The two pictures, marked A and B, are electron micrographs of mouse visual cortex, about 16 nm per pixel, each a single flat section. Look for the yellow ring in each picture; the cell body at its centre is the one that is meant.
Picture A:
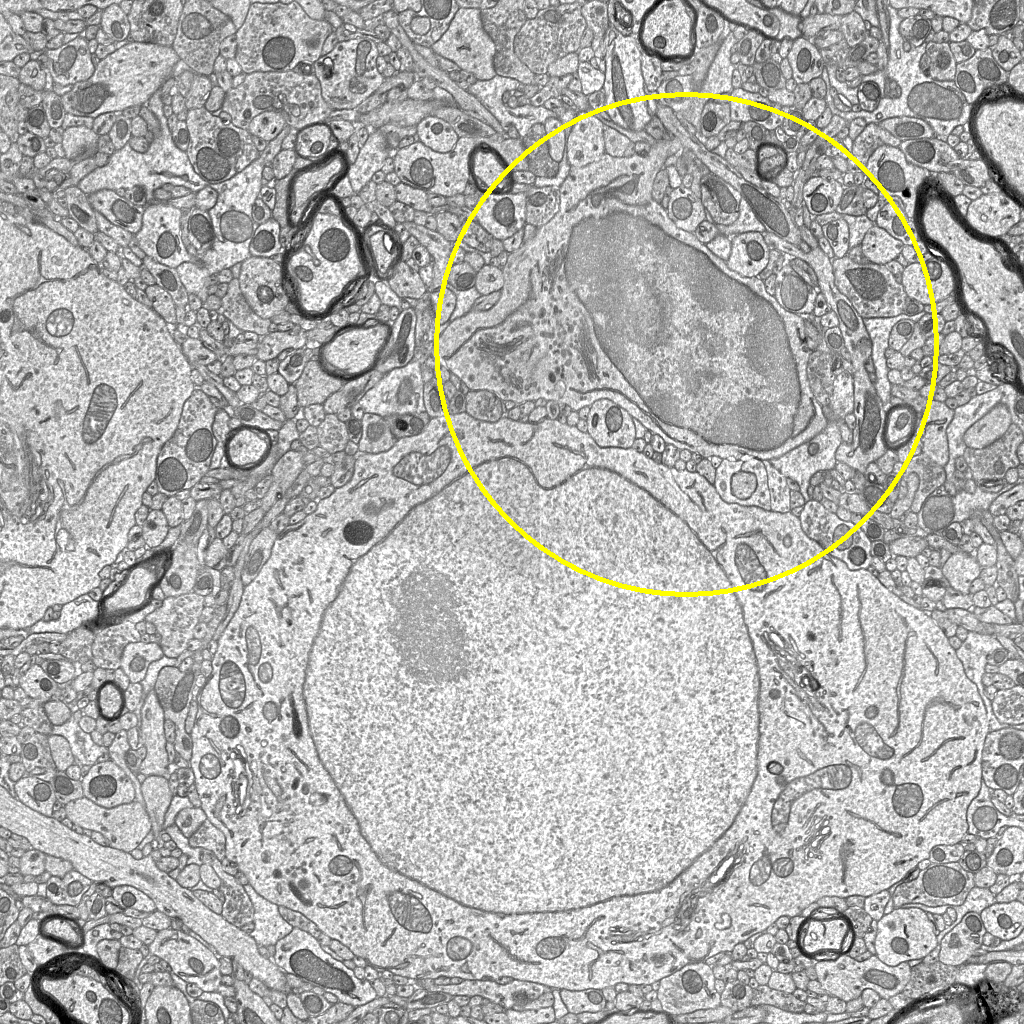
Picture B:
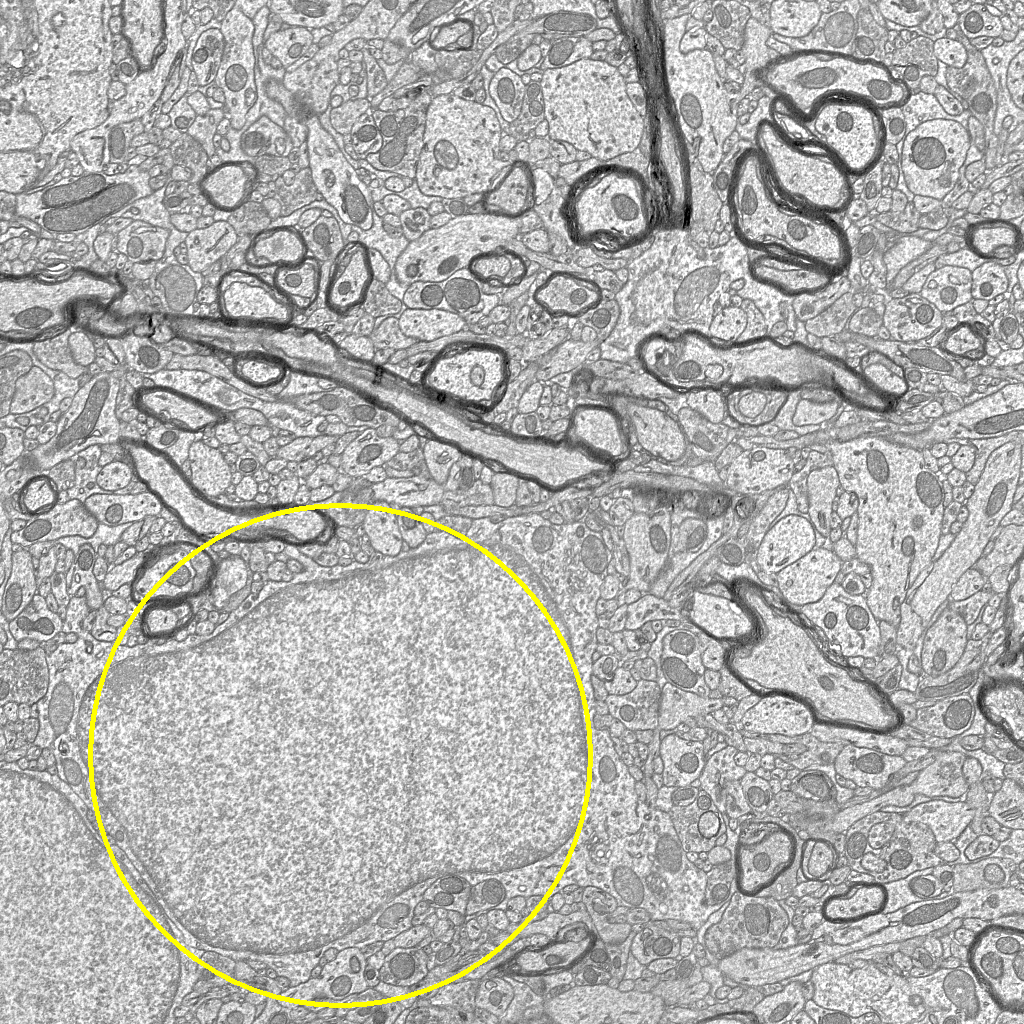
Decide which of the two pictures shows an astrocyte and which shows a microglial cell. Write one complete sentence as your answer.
Picture A is of a microglial cell, and picture B is of an astrocyte.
